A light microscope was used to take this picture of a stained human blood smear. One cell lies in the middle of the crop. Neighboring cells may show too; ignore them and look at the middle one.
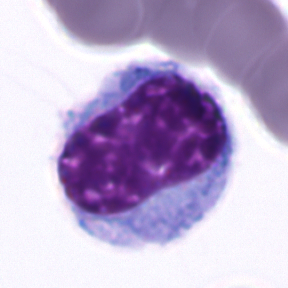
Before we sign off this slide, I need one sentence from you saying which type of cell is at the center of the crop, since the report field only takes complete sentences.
What sits at the centre of this crop is a plasma cell.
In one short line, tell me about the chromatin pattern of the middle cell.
Take a look at the chromatin, which is coarsely clumped.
